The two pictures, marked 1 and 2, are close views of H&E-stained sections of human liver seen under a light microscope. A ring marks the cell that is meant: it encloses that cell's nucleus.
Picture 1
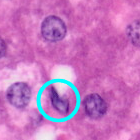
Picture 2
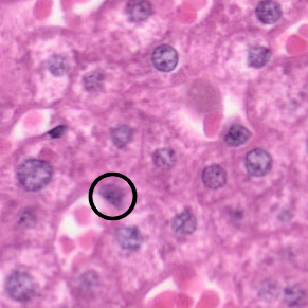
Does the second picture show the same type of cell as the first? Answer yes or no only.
yes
